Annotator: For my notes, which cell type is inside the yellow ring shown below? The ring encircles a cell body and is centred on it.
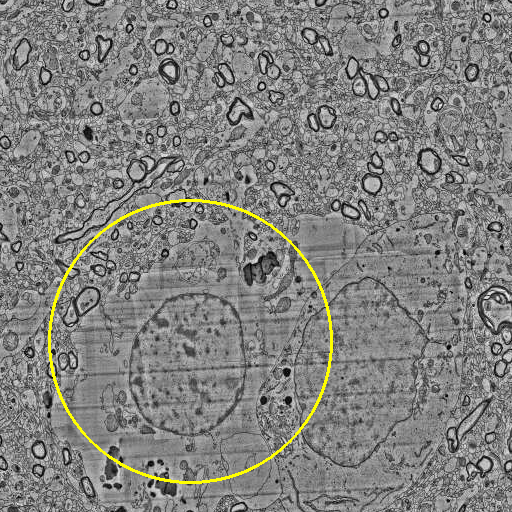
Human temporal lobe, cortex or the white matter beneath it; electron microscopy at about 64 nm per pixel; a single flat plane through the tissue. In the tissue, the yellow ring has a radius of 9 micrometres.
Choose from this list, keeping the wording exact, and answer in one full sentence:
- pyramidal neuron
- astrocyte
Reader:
At the centre of the yellow ring there is an astrocyte, as shown in the picture.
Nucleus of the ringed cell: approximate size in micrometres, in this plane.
In this plane, the nucleus is roughly 9 by 7 micrometres.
